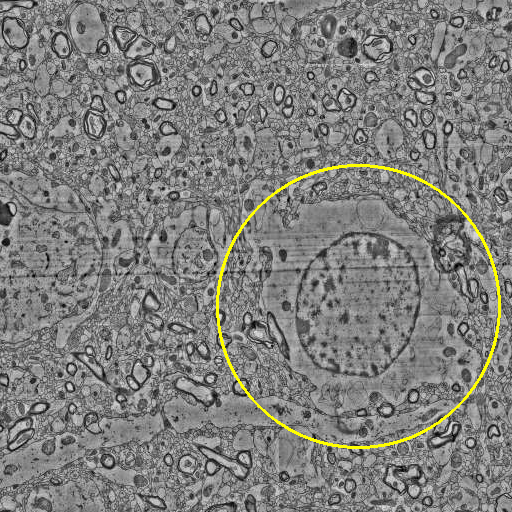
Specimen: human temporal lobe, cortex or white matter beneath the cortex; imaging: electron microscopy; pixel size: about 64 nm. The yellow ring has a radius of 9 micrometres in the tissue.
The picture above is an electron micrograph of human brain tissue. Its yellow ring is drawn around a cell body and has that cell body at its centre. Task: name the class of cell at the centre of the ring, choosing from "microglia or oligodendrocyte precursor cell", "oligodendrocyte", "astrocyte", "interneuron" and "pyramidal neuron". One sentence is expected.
The ring surrounds the body of an astrocyte.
